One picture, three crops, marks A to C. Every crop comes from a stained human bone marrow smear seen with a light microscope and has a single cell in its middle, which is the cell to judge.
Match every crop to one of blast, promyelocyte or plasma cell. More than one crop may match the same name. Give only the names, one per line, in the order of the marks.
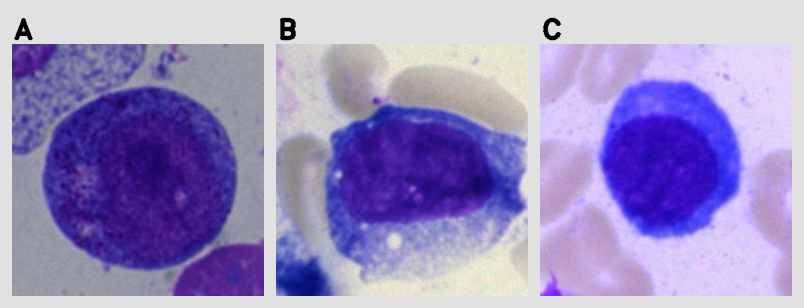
promyelocyte
blast
plasma cell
